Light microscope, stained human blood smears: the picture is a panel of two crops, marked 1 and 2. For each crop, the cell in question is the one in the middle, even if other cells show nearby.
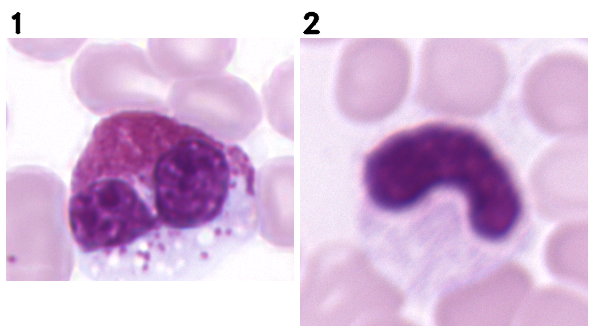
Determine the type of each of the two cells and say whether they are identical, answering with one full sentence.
No, crop 1 contains an eosinophil, and crop 2 contains a band neutrophil.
